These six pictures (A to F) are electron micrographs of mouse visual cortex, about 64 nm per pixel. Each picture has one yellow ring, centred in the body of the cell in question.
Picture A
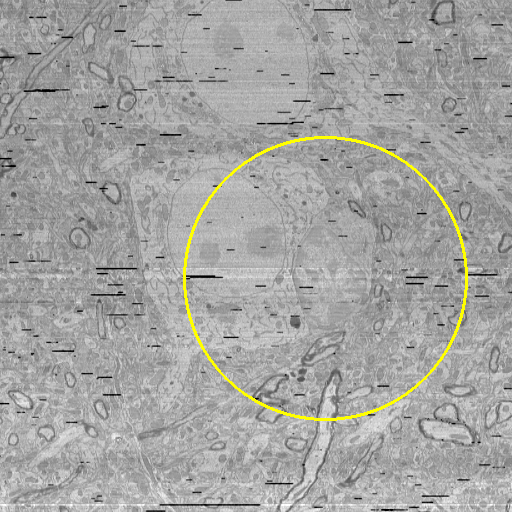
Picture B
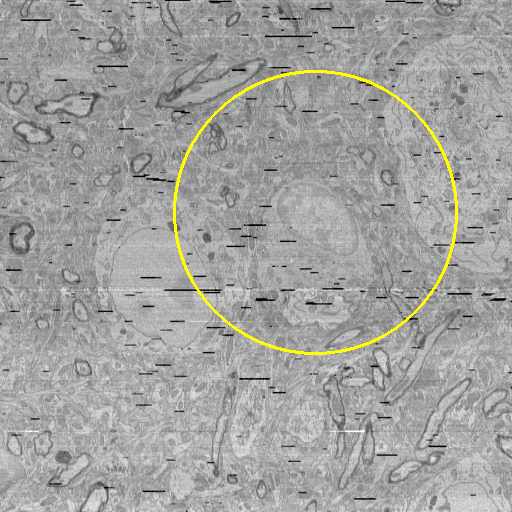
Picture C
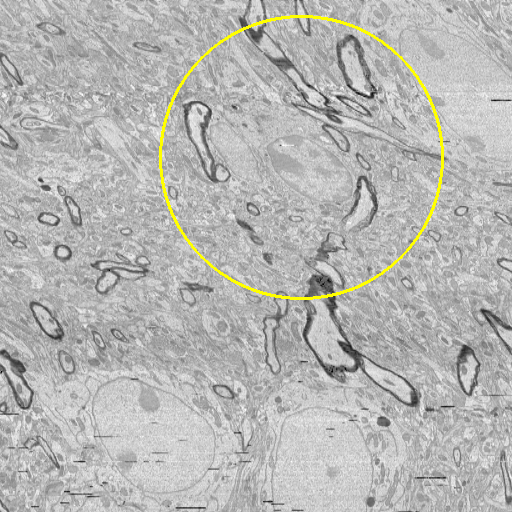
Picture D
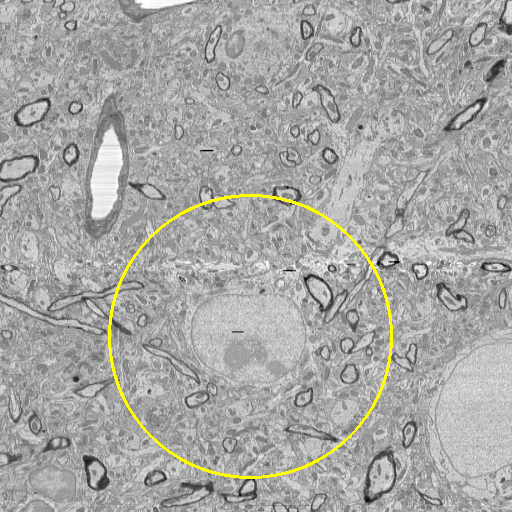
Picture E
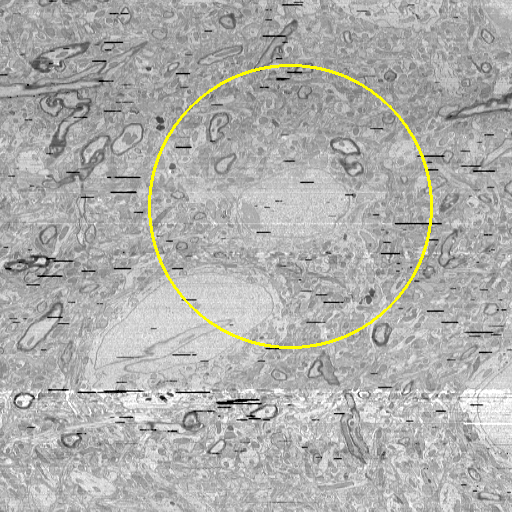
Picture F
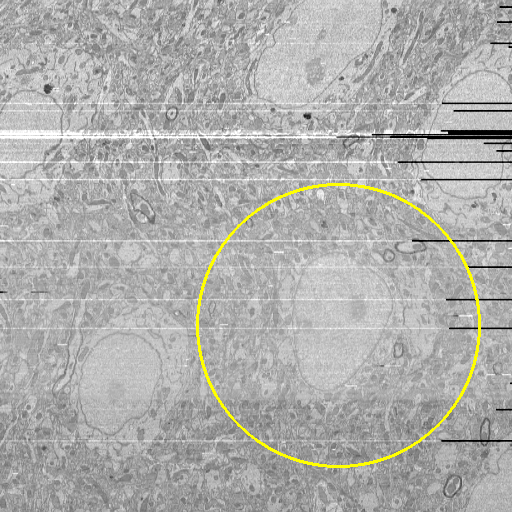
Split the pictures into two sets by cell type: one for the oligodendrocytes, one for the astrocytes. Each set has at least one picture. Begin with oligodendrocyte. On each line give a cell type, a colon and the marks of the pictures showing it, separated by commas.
oligodendrocyte: A, B, C
astrocyte: D, E, F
